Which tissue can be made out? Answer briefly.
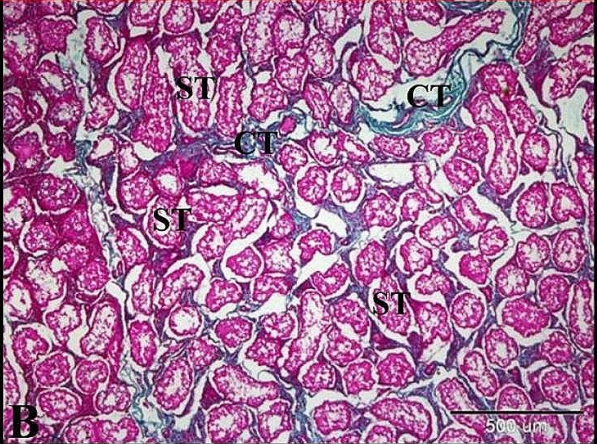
Testis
